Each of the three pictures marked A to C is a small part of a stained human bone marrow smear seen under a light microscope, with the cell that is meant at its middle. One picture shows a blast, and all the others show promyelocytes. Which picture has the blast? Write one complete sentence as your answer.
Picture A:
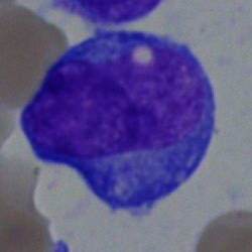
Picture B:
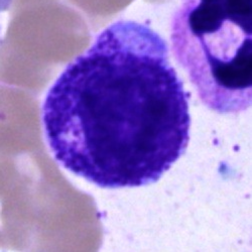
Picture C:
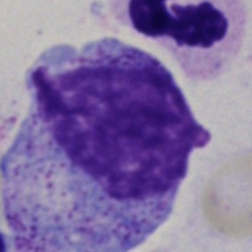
The picture with the blast is A.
